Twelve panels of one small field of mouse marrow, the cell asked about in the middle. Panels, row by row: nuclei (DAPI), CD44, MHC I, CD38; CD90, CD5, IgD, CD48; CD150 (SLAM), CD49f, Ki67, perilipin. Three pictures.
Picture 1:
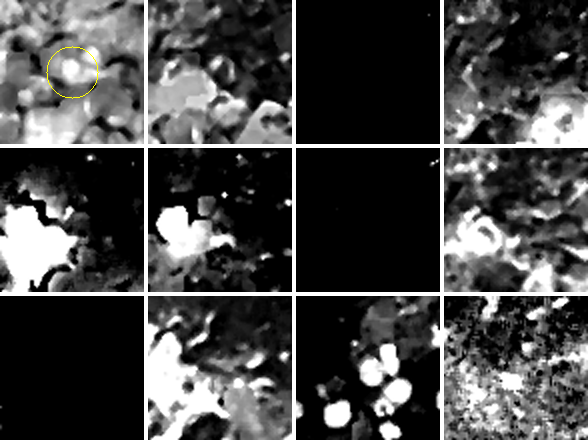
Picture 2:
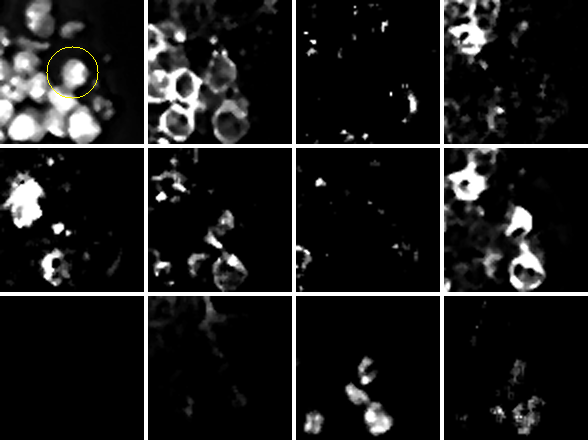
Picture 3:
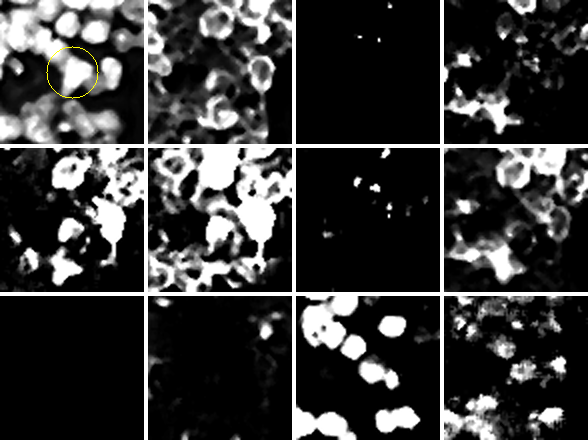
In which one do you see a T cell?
In picture 3.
